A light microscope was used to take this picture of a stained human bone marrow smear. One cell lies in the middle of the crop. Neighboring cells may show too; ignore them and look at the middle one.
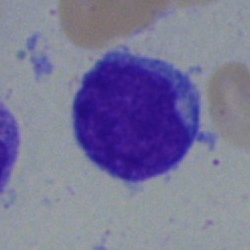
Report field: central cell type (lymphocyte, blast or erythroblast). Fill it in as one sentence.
The middle position in this crop is taken by a blast.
